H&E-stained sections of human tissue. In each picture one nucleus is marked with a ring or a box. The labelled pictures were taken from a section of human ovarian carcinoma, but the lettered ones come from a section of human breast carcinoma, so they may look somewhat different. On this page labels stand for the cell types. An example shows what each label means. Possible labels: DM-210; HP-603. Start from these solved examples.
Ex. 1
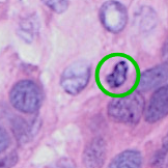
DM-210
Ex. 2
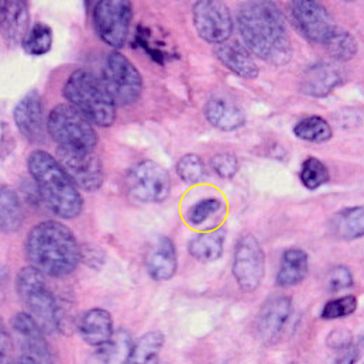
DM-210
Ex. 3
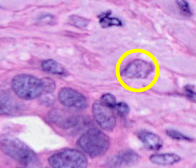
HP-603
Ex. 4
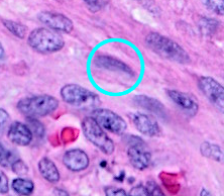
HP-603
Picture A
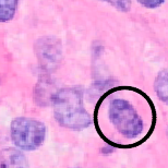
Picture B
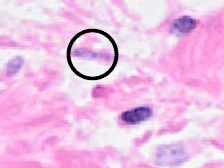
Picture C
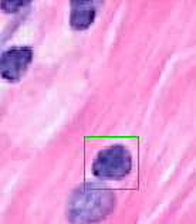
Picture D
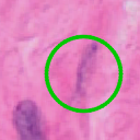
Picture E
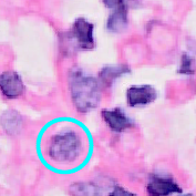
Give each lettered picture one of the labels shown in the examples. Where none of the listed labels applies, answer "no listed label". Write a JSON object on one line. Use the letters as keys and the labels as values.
{"A": "no listed label", "B": "HP-603", "C": "DM-210", "D": "HP-603", "E": "no listed label"}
